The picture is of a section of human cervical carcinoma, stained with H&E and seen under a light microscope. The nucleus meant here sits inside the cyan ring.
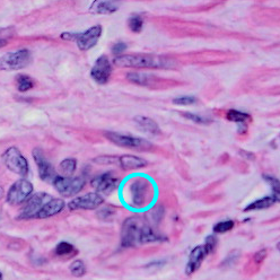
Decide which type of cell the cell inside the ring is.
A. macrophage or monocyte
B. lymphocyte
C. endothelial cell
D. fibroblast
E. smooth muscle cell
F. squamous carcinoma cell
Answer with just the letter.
C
